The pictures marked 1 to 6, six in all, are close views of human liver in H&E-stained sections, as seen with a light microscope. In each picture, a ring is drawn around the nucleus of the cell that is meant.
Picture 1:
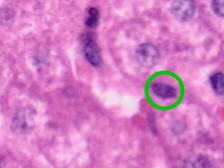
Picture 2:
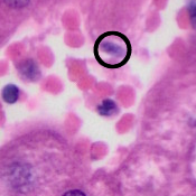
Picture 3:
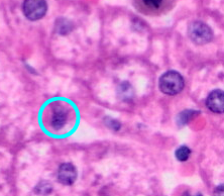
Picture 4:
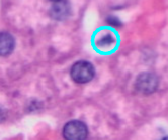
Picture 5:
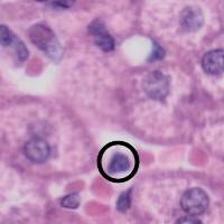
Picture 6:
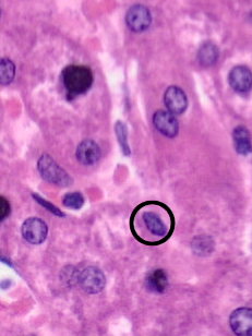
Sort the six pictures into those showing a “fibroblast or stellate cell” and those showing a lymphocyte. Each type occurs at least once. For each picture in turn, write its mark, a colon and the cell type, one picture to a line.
1: fibroblast or stellate cell
2: fibroblast or stellate cell
3: fibroblast or stellate cell
4: lymphocyte
5: lymphocyte
6: fibroblast or stellate cell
